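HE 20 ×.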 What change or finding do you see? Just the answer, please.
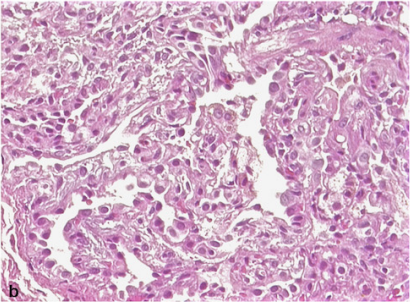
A: interstitial thickening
